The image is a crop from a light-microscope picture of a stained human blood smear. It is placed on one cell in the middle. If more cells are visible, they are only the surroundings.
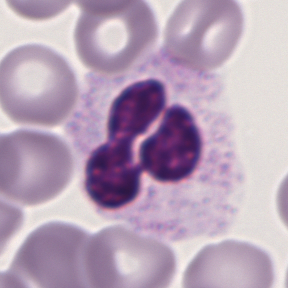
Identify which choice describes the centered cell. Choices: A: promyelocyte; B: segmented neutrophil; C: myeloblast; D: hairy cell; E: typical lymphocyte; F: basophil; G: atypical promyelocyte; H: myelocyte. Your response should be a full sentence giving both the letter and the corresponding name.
The correct option here is B; the middle cell is a segmented neutrophil.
